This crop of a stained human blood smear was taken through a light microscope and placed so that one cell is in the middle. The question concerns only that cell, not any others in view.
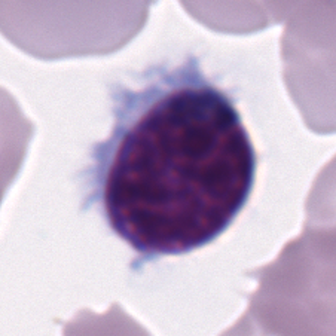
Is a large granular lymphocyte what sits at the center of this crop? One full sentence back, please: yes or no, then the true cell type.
No, that guess of a large granular lymphocyte misses; the central cell is a hairy cell.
